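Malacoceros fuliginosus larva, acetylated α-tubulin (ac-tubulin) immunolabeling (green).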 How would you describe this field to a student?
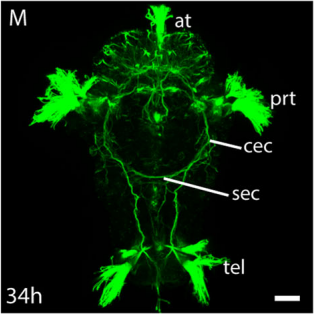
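At the front end a dense tuft of long cilia projects forward. Across the broadest part of the body a band of large ciliary bundles spreads to both sides, and at the hind end another group of ciliary bundles projects sideways and backwards. Thin nerve fibres form a loop around the middle of the anterior body, and from it paired longitudinal fibre tracts run back towards the posterior end, linked by a transverse fibre crossing the midline. Fine fibres also branch beneath the apical region.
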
